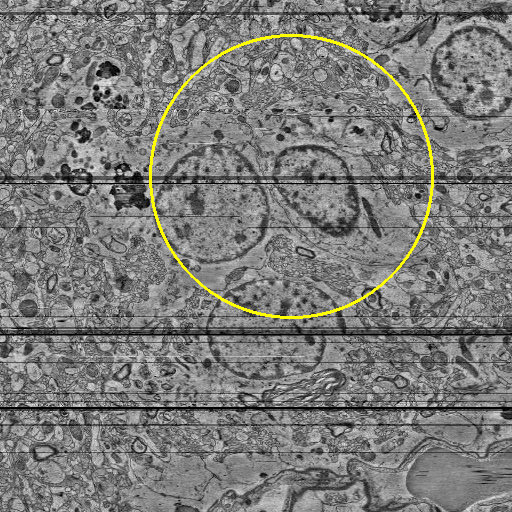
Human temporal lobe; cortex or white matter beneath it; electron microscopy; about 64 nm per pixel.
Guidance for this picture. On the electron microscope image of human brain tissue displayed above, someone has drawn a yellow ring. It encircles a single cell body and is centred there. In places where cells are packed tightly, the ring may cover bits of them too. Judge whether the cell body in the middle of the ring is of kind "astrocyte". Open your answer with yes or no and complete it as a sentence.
Yes, that kind matches the cell whose body lies at the ring's centre in the image above.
